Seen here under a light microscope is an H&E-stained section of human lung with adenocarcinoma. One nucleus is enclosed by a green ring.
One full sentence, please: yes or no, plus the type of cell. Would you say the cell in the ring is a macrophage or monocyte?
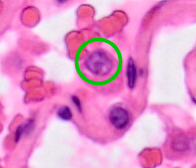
Yes, to name the cell in the ring a macrophage or monocyte is correct.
